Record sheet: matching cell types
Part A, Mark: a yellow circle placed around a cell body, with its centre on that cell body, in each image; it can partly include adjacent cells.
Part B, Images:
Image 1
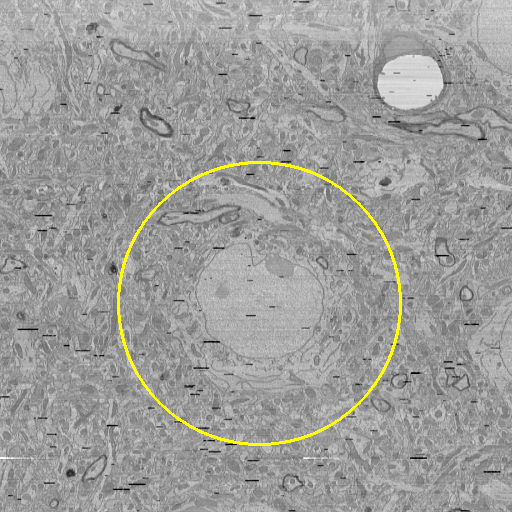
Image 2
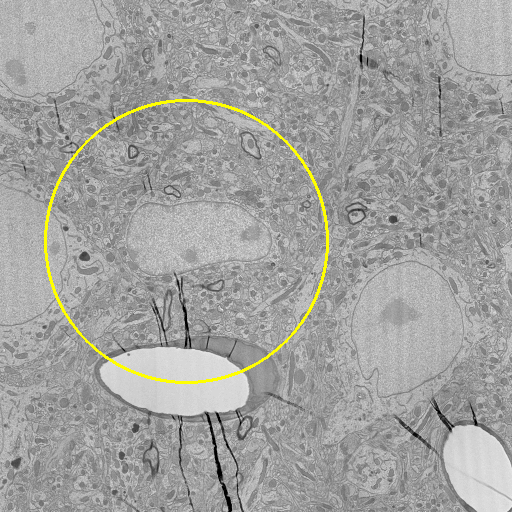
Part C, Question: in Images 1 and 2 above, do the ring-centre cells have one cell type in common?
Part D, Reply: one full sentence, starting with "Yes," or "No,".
No, the ring-centre cells of Image 1 and Image 2 are each of a separate cell type.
